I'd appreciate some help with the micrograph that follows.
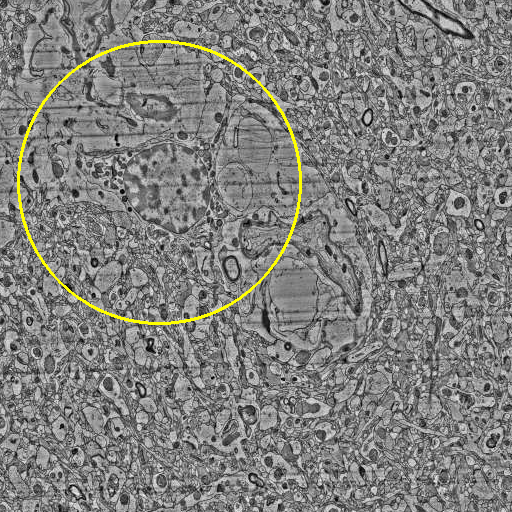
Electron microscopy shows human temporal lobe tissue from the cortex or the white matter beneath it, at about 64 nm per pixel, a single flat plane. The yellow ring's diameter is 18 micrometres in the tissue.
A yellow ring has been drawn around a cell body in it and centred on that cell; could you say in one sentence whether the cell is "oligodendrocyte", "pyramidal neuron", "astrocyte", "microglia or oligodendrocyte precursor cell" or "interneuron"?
It is a microglial cell or oligodendrocyte precursor cell at the centre of the ring.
